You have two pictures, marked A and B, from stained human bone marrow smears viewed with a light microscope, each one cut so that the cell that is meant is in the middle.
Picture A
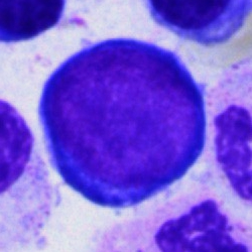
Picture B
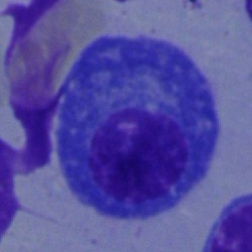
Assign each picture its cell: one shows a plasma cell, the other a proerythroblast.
A: proerythroblast
B: plasma cell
